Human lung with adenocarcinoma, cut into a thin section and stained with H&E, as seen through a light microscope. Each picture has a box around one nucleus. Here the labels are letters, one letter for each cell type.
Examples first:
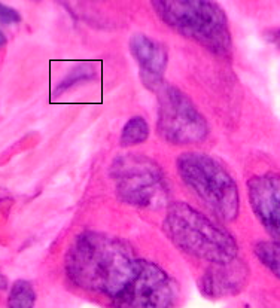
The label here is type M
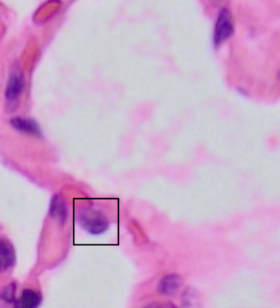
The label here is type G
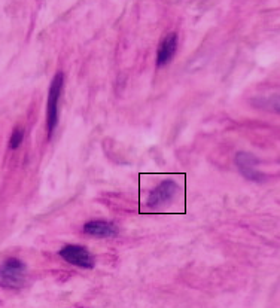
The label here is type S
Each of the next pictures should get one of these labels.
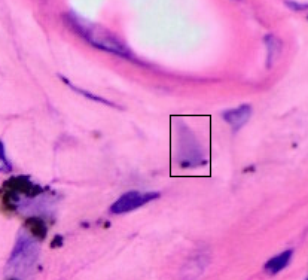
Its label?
type M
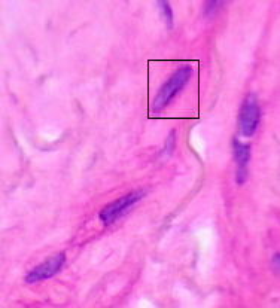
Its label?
type S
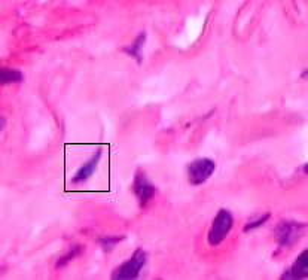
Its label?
type M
